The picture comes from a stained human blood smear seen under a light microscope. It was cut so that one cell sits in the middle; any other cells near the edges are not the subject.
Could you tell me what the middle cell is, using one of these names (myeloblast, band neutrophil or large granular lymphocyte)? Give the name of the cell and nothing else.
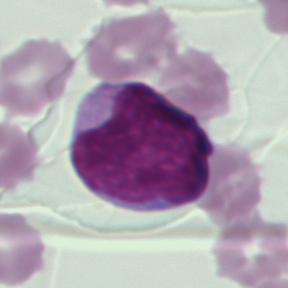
myeloblast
